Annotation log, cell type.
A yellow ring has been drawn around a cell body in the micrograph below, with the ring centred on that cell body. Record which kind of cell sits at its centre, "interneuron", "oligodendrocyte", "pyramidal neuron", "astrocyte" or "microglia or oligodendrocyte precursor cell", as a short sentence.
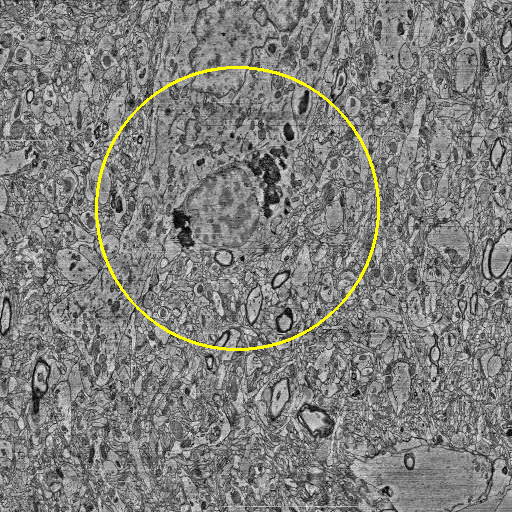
The cell at the centre of this ring is an oligodendrocyte.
